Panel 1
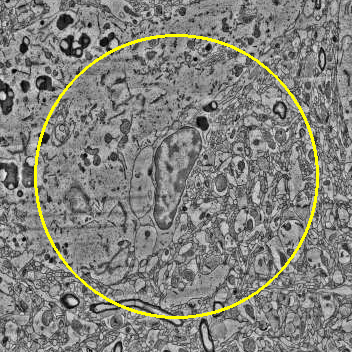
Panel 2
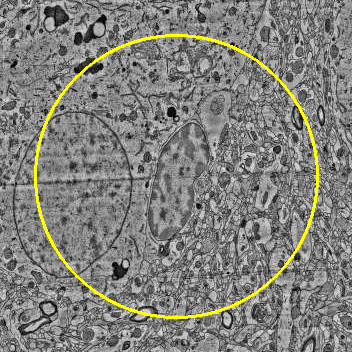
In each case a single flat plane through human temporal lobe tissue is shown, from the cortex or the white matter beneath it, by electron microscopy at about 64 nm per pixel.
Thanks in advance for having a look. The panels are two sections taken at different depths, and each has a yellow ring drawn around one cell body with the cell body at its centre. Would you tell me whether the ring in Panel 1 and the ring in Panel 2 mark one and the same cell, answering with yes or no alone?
yes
